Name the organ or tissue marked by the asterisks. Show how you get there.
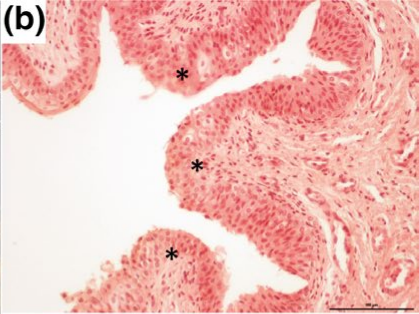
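A multilayered epithelium lines an open lumen. The epithelium is thrown into folds projecting into the lumen. The epithelium has many layers of cells with round to oval nuclei. Loose pink connective tissue lies beneath the epithelium. That points to this answer: Urothelial tissue.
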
